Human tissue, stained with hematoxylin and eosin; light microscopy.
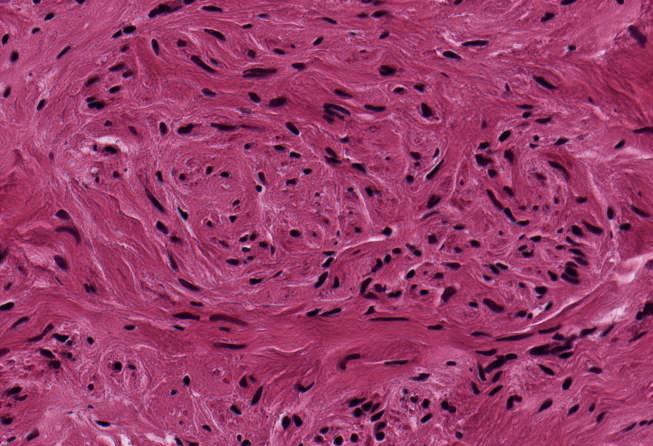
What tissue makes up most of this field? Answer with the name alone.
dense connective tissue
